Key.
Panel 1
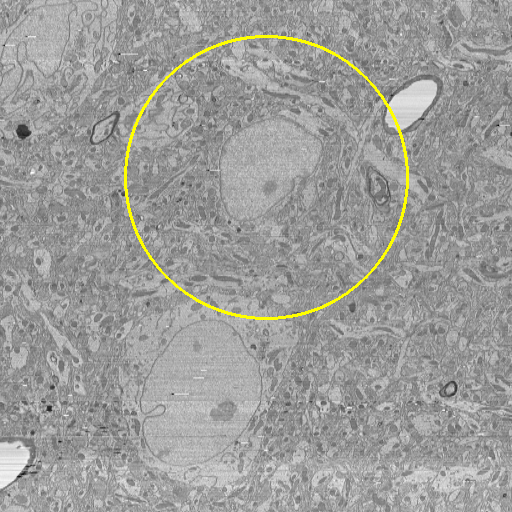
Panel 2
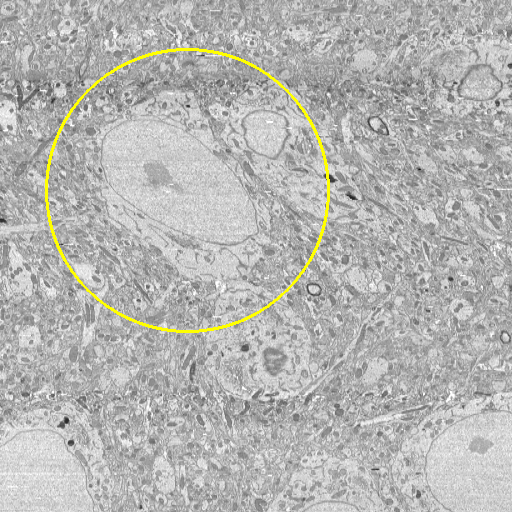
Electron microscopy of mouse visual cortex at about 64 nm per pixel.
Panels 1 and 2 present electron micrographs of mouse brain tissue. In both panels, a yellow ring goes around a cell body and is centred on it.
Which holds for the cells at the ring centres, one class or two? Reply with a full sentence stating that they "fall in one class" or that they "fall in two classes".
Taken together, the ring-centre cells of the two panels fall in two classes.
